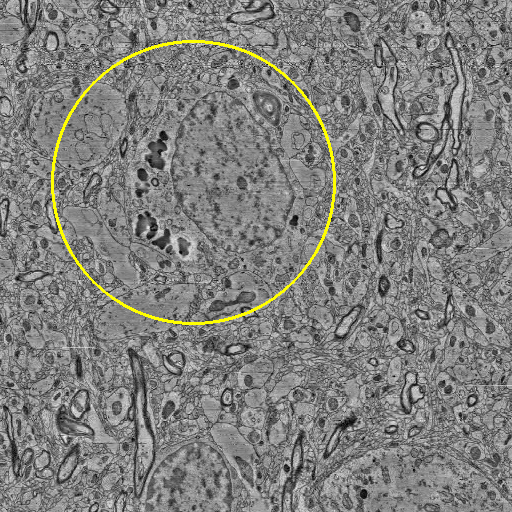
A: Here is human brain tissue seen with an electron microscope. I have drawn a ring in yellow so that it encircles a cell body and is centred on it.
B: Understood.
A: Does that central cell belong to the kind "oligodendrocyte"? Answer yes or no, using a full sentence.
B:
No, the central cell inside your yellow ring belongs to another kind.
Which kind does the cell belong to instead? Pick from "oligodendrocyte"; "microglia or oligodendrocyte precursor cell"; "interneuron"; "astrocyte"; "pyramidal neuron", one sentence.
Here, the ring is centred on an interneuron instead.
